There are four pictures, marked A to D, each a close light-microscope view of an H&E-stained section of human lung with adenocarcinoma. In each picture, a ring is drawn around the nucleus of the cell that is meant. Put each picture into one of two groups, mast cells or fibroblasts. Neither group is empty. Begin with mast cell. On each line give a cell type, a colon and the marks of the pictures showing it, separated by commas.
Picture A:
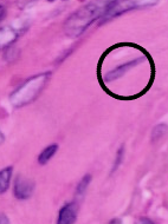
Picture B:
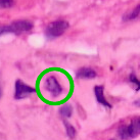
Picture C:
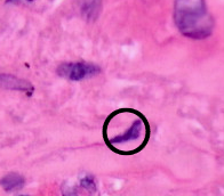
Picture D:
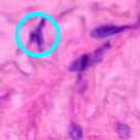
mast cell: B
fibroblast: A, C, D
